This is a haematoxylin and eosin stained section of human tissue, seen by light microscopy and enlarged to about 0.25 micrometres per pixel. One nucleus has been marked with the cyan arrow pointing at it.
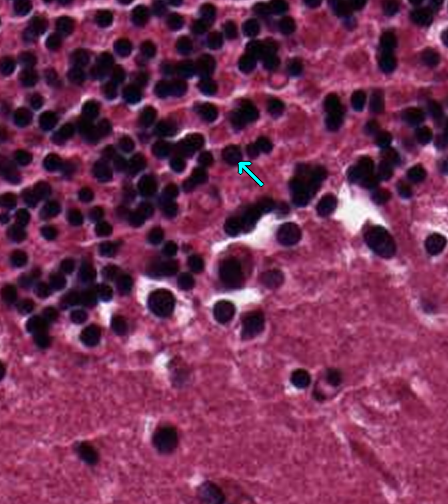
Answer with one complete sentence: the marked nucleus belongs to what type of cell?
In this image, the nucleus that is marked belongs to a cerebellar granule cell.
